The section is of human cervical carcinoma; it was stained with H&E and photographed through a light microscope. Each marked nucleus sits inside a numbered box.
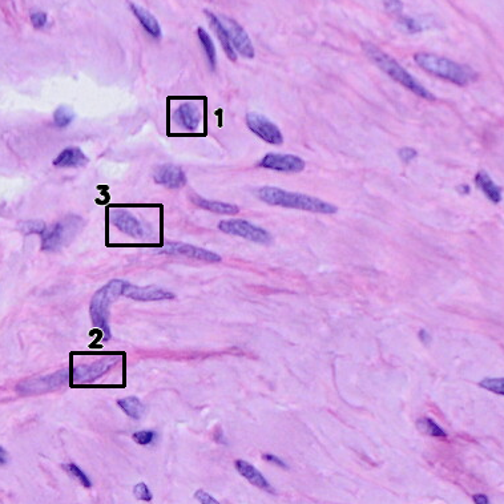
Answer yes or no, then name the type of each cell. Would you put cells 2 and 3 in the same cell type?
Yes, both of the numbered cells concerned, 2 and 3, are smooth muscle cells.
